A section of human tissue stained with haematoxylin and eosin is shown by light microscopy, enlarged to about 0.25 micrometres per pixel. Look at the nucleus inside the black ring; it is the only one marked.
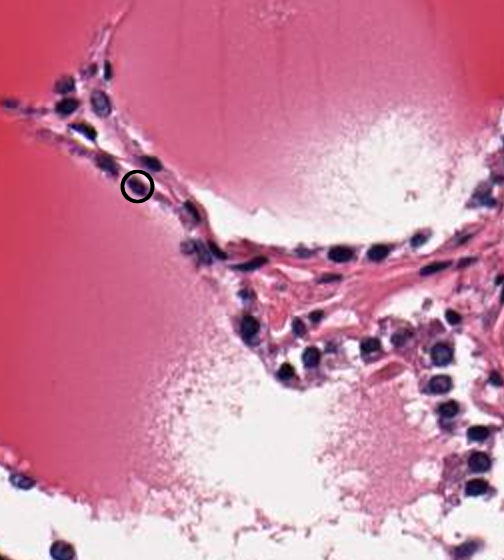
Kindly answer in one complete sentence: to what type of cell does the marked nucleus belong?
Here the marked nucleus is part of a thyroid follicular cell.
